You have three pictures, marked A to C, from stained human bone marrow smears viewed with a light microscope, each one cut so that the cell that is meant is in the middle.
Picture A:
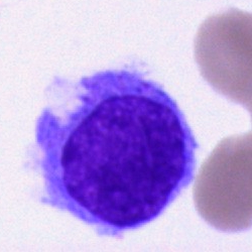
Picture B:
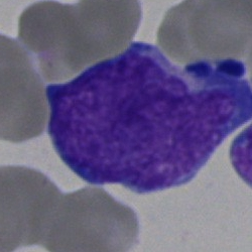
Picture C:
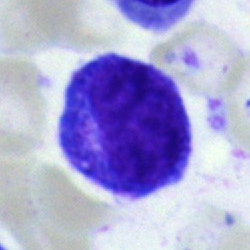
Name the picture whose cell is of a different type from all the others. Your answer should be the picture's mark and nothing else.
C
